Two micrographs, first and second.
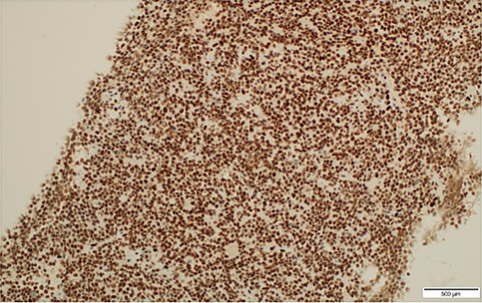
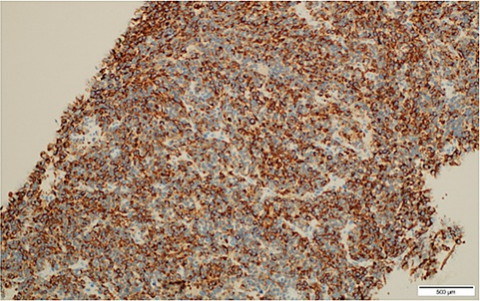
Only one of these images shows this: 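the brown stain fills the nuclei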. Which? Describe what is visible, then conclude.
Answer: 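The first image. Second image: brown stain rims the cells while nuclei show blue. First image: brown stain lies in round nuclear dots with no blue nuclei visible.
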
